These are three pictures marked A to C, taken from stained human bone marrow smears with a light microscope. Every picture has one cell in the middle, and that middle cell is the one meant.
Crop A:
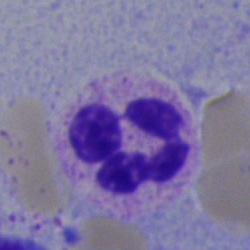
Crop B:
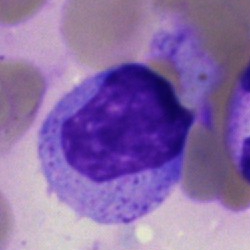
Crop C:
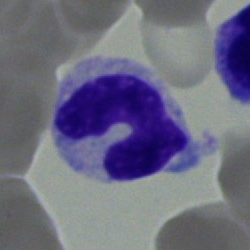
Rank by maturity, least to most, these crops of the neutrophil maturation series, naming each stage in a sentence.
The maturation sequence, from earliest to latest, is crop B (a myelocyte), crop C (a band neutrophil) and crop A (a segmented neutrophil).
